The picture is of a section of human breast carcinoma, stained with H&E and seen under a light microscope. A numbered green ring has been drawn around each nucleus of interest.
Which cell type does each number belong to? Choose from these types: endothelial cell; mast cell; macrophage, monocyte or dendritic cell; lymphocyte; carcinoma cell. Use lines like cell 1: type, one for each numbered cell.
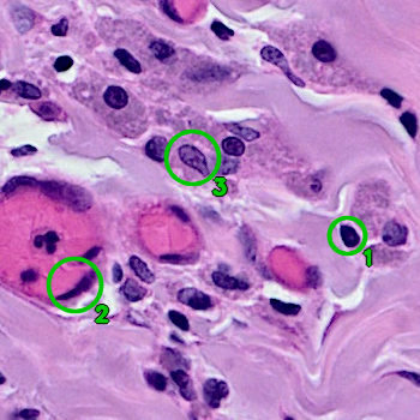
cell 1: lymphocyte
cell 2: endothelial cell
cell 3: macrophage, monocyte or dendritic cell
